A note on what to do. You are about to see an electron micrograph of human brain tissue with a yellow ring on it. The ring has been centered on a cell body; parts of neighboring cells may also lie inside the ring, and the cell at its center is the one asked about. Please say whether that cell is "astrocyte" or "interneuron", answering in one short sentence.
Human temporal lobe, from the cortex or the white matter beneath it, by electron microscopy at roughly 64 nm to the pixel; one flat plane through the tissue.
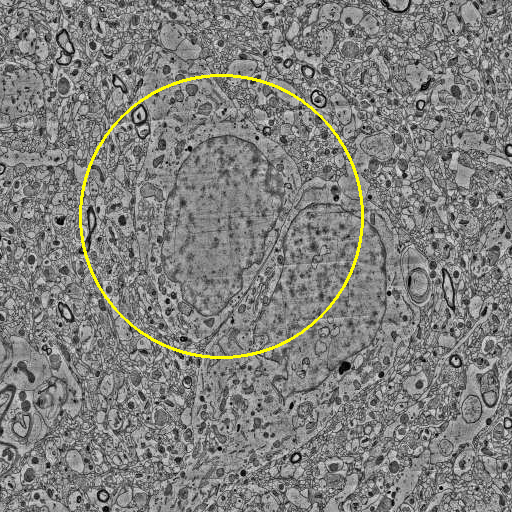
The yellow ring sits on an interneuron.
